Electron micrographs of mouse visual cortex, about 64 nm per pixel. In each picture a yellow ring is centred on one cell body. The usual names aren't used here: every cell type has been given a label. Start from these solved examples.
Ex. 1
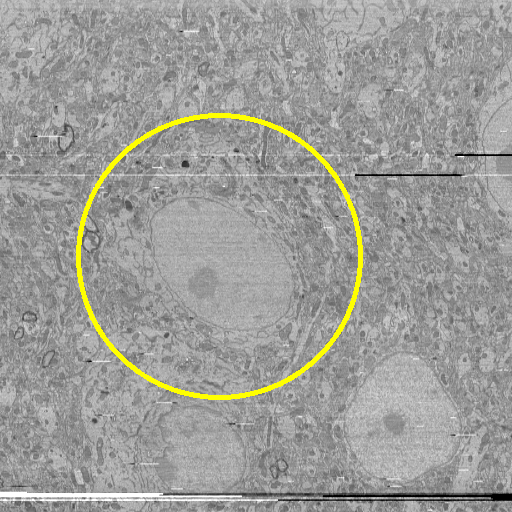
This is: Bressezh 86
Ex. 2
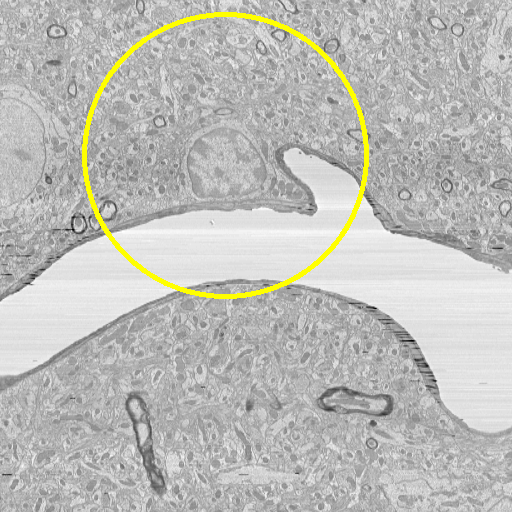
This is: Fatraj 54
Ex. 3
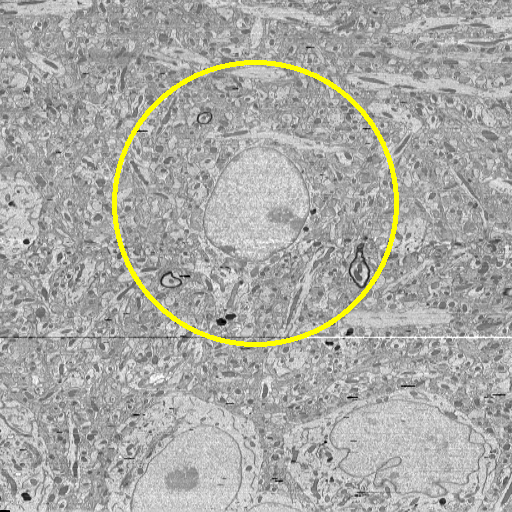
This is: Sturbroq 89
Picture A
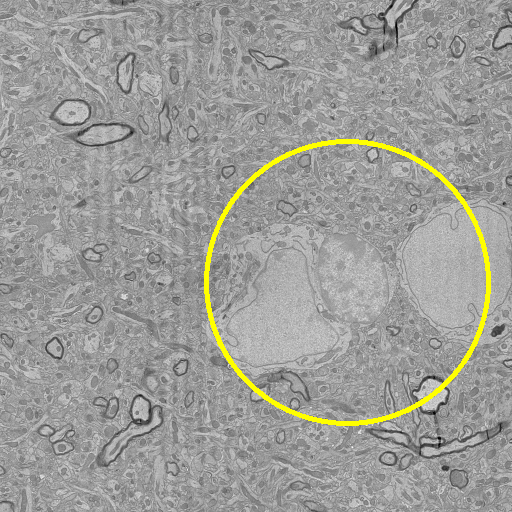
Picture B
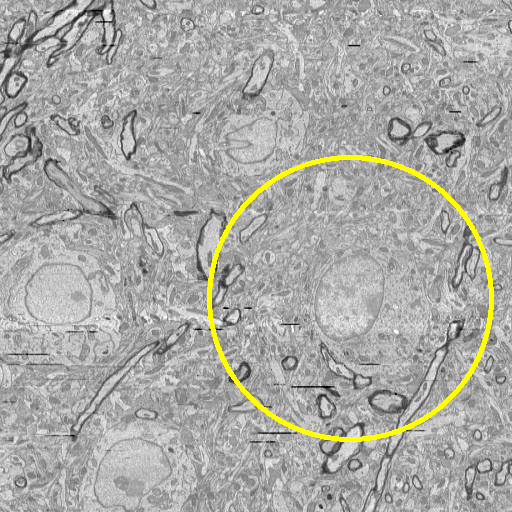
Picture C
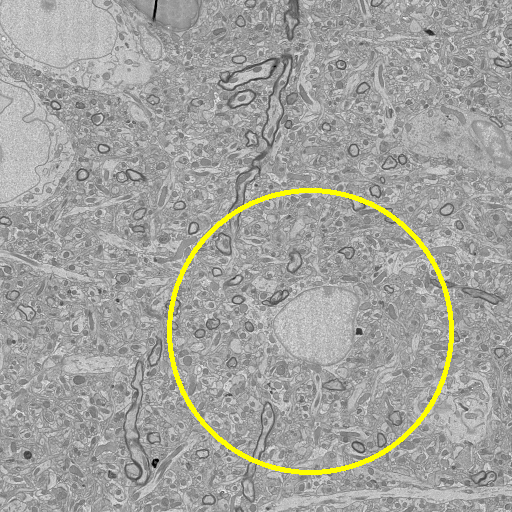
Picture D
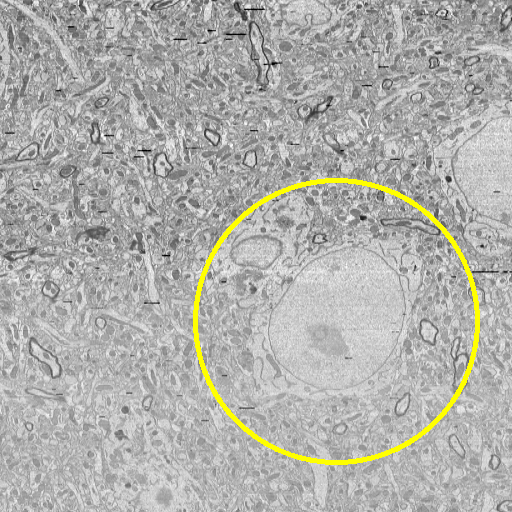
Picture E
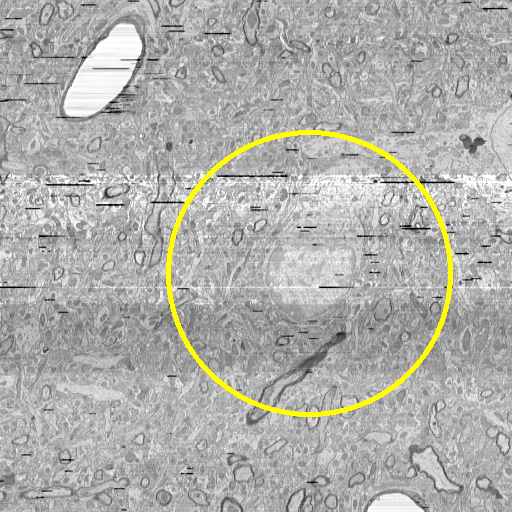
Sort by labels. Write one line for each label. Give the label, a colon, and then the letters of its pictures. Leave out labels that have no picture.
Bressezh 86: D
Fatraj 54: A, B, E
Sturbroq 89: C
